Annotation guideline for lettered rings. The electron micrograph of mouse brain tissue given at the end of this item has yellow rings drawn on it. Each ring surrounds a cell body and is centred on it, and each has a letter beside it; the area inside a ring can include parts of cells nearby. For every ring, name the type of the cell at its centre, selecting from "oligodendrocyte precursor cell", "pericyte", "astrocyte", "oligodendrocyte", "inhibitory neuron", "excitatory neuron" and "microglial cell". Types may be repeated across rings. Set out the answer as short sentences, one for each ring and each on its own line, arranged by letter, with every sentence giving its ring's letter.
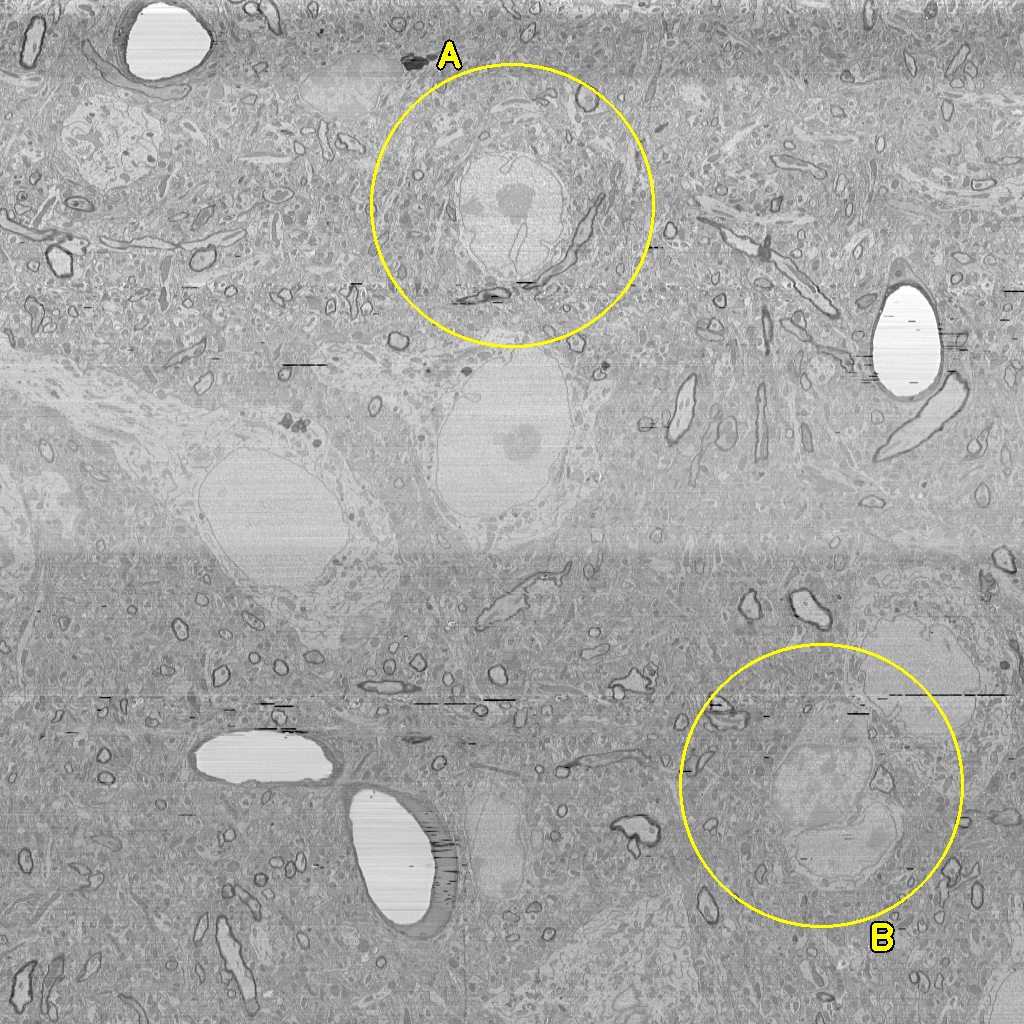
The cell centred in ring A is an inhibitory neuron.
The cell centred in ring B is an oligodendrocyte.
